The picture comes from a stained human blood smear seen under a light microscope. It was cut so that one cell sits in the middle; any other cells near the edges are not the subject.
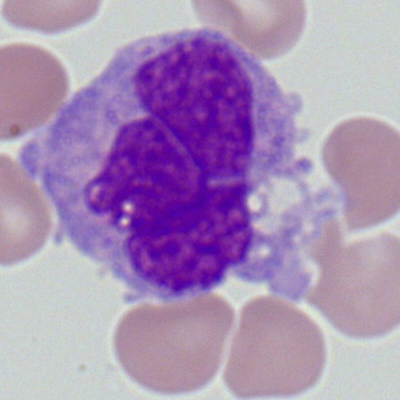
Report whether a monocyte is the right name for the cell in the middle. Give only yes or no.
yes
